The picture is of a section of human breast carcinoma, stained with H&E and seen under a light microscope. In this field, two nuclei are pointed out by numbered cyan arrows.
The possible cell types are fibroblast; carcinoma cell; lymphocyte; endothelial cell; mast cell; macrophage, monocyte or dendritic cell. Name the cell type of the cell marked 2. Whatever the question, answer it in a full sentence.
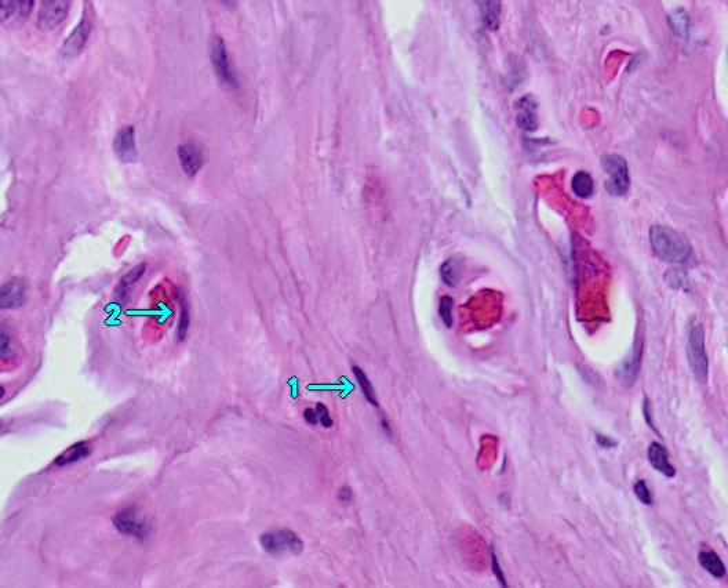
The cell identified by the number 2 is an endothelial cell.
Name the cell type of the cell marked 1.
The cell that bears the number 1 is a fibroblast.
